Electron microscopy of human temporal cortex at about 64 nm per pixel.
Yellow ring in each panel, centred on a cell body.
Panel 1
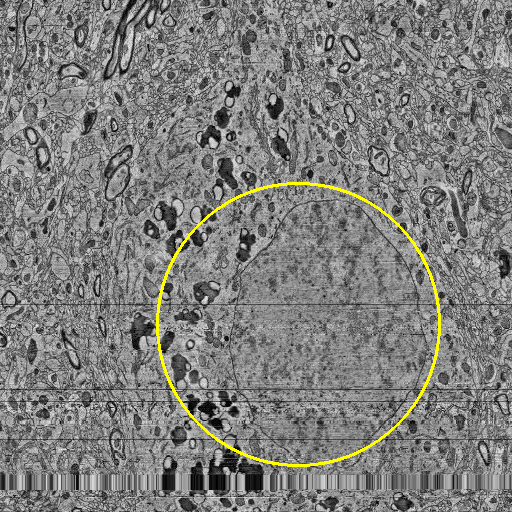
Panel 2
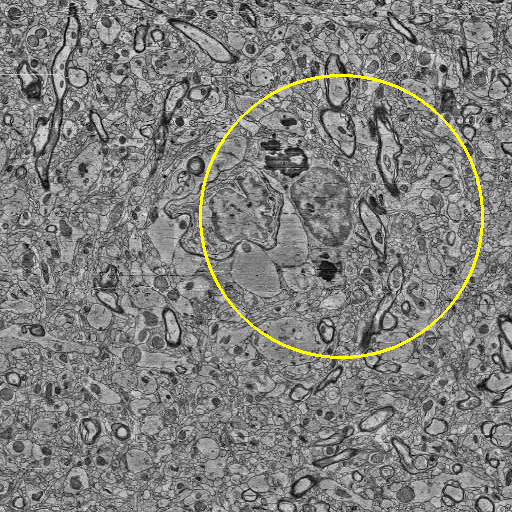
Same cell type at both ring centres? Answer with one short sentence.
No, the two cells are of two types.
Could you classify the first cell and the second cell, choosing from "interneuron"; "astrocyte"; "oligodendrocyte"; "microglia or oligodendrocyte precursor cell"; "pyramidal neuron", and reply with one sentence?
The second cell is an oligodendrocyte, while the first is a pyramidal neuron.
